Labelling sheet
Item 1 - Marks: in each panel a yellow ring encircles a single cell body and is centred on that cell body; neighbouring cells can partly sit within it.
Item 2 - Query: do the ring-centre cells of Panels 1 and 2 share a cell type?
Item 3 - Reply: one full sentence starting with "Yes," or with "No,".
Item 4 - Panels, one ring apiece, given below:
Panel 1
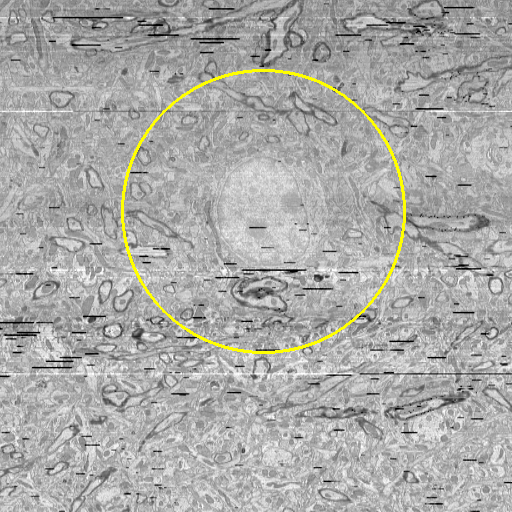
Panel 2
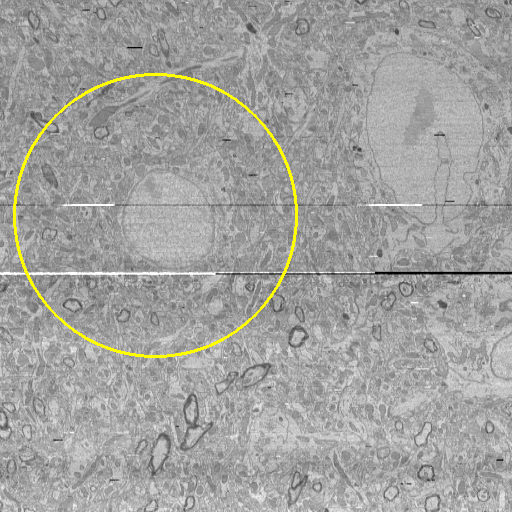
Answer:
No, Panel 1 and Panel 2 show two cell types at the centres of their rings.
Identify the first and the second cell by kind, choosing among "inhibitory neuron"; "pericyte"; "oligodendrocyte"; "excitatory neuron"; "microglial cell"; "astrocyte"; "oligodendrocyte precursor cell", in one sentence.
The one in the first picture is an oligodendrocyte, while the one in the second is an astrocyte.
